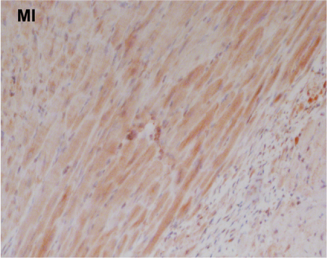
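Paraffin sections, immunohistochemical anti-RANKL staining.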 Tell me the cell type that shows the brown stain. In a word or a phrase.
Cardiomyocytes.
